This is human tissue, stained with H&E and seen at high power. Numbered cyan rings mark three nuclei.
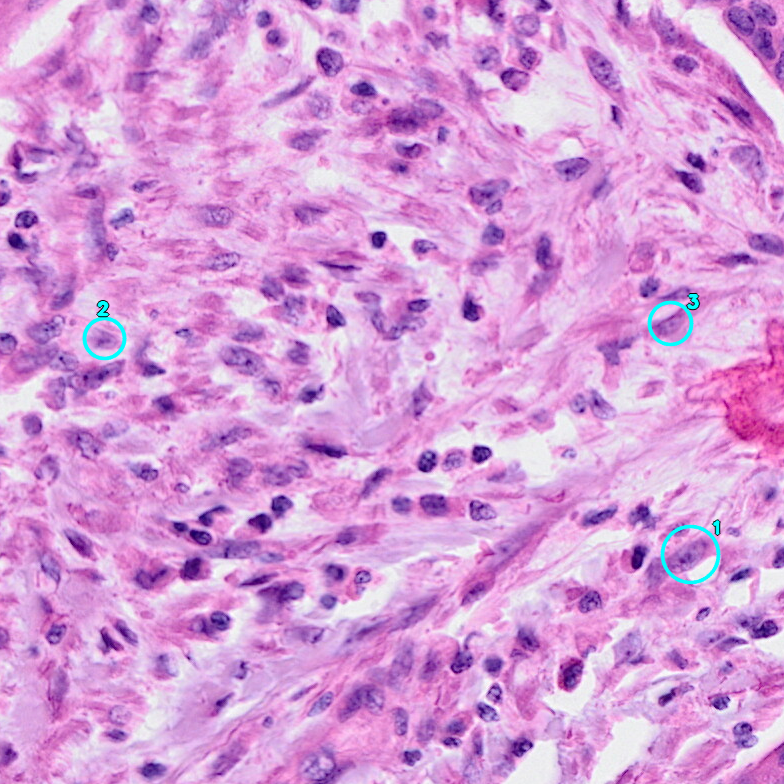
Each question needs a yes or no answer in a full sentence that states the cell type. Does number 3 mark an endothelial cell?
No, the cell labelled 3 is a fibroblast and not an endothelial cell.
